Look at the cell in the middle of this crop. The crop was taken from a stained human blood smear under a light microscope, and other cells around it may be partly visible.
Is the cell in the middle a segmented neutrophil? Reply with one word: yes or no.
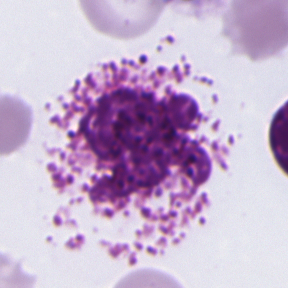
no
